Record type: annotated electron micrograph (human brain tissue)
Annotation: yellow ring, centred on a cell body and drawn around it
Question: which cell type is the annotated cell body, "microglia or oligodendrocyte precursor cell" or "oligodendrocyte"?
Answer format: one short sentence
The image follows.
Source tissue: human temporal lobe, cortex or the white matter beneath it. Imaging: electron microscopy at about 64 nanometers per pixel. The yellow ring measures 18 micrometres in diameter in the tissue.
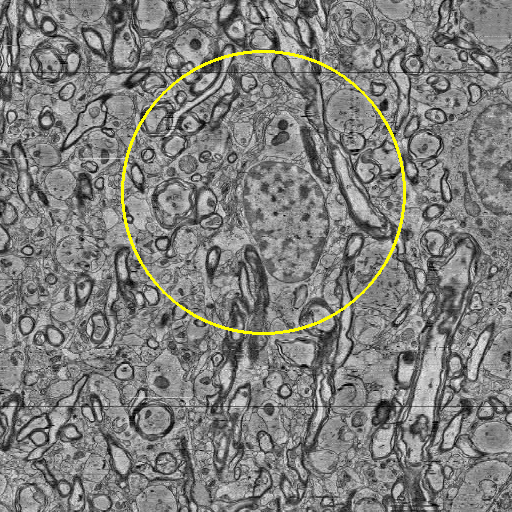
The annotated cell body is that of a microglial cell or oligodendrocyte precursor cell.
